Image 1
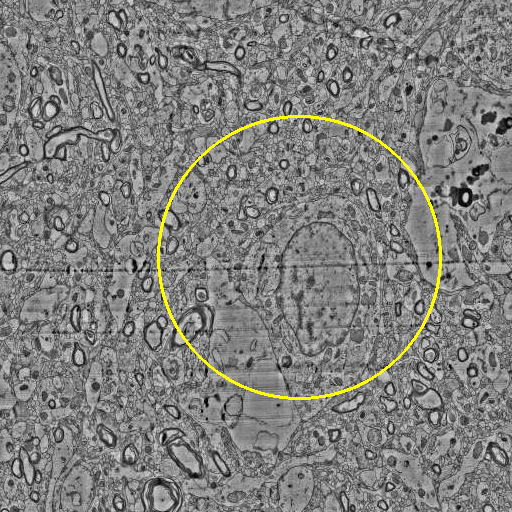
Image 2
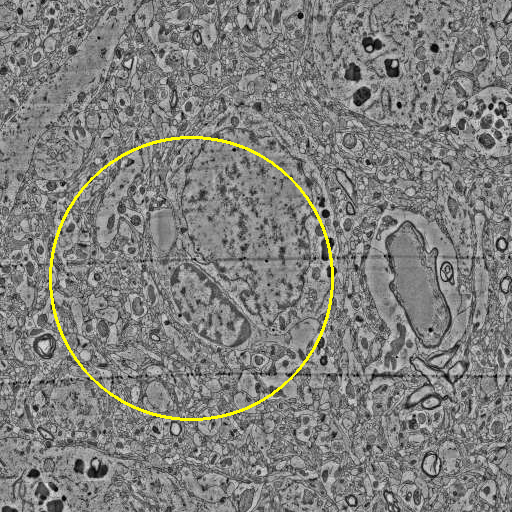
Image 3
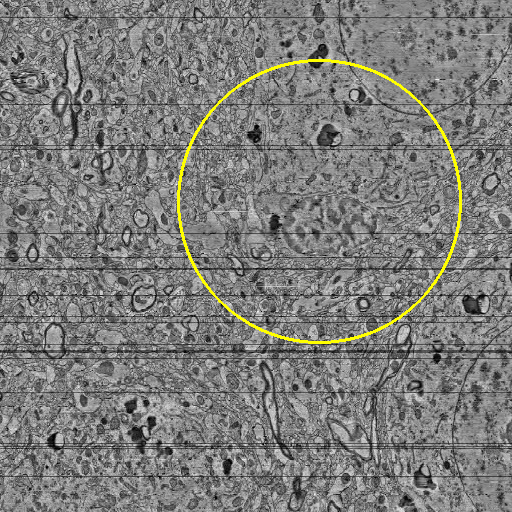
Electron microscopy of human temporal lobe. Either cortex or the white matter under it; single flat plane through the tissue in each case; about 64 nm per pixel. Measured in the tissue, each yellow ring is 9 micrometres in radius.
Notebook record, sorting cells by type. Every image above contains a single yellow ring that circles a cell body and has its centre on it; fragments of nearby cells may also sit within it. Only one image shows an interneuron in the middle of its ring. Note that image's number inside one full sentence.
For image 1, the cell in the middle of its yellow ring is the match.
